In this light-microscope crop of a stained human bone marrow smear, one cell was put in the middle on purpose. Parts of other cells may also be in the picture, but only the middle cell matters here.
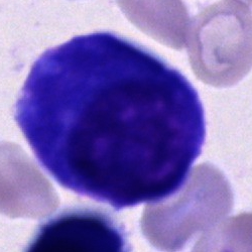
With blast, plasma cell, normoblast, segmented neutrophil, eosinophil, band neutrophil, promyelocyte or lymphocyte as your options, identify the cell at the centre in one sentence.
The cell nearest the centre of this crop is a plasma cell.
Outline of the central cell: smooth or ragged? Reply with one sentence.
Worth noting that the cell border is smooth and lacks projections.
